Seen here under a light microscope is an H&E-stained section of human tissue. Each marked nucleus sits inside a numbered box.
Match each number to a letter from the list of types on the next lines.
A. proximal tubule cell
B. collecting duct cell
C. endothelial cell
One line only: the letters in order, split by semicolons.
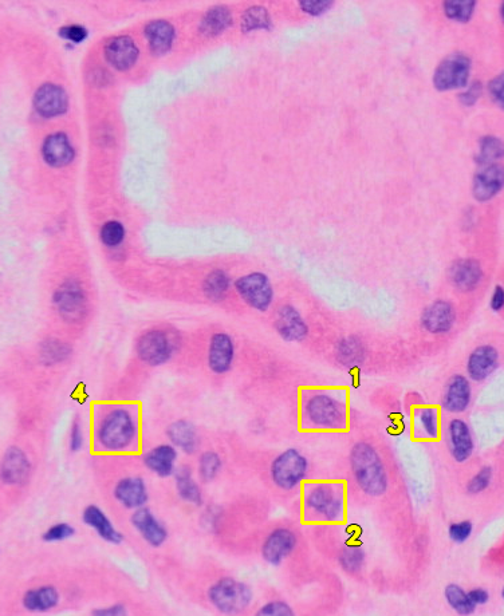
A; A; C; A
